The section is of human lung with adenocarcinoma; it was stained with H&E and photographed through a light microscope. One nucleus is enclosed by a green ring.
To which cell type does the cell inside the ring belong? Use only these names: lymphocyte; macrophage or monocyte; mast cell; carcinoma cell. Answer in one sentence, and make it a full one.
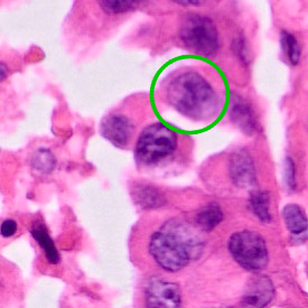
In the context of this tissue, the cell inside the ring is a carcinoma cell.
